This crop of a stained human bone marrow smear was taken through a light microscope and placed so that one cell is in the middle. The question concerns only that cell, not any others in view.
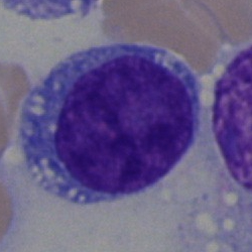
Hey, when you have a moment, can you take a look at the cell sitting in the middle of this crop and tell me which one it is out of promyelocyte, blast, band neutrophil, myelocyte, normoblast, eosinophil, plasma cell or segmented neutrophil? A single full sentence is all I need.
The centered cell in this crop is a blast.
